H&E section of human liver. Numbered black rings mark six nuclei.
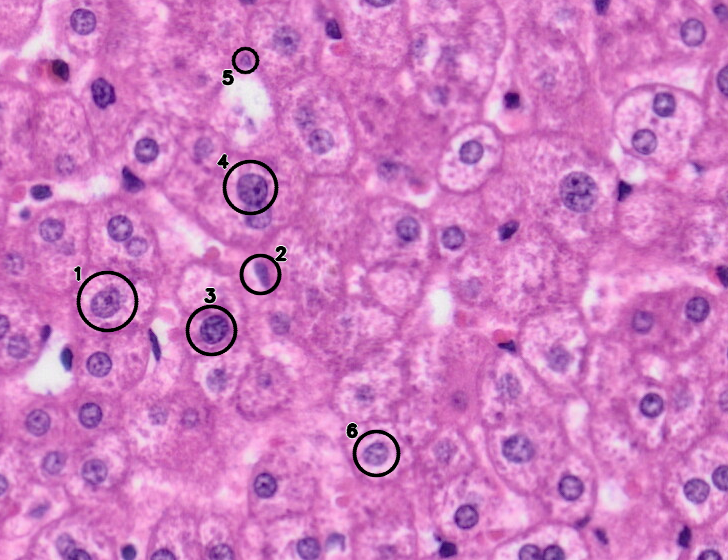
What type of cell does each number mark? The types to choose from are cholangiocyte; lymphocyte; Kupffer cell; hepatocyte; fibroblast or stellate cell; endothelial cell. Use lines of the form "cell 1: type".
cell 1: hepatocyte
cell 2: endothelial cell
cell 3: hepatocyte
cell 4: hepatocyte
cell 5: fibroblast or stellate cell
cell 6: hepatocyte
